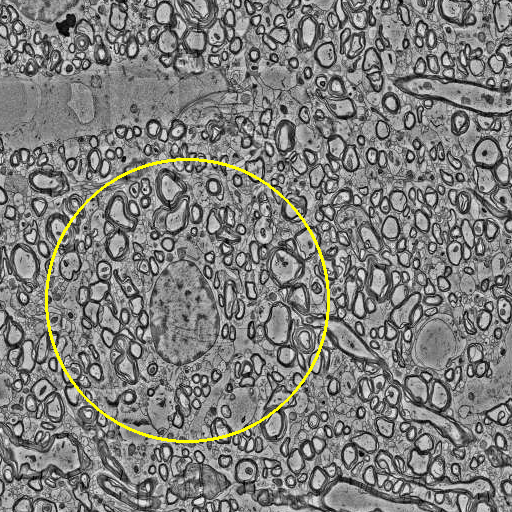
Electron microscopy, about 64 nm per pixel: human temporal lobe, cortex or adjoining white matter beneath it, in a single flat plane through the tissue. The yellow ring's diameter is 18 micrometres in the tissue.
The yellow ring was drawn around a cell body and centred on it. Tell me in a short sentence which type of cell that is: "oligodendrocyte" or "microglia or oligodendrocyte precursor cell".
The cell at the ring's centre is a microglial cell or oligodendrocyte precursor cell.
